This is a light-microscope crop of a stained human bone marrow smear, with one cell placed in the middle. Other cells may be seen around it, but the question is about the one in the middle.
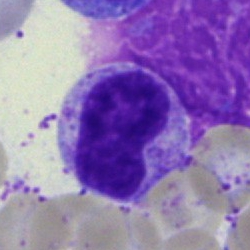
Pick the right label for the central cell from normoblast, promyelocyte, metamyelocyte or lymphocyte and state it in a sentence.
The cell occupying the middle of the crop is a metamyelocyte.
